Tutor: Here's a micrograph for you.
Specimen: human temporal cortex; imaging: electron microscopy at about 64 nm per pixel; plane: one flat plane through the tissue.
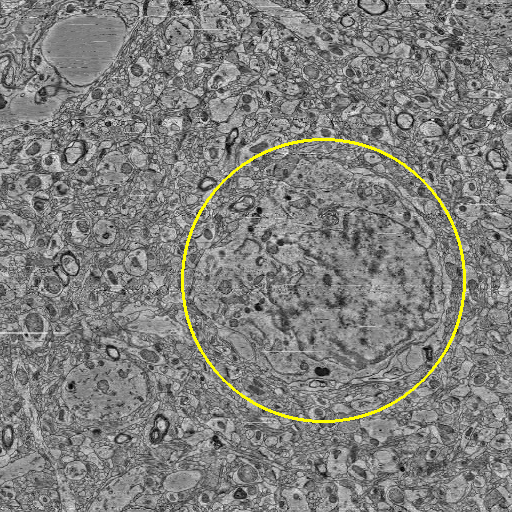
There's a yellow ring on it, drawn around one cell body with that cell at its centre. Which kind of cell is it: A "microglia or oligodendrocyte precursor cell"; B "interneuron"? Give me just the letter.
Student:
B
